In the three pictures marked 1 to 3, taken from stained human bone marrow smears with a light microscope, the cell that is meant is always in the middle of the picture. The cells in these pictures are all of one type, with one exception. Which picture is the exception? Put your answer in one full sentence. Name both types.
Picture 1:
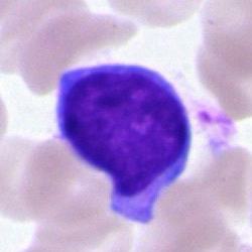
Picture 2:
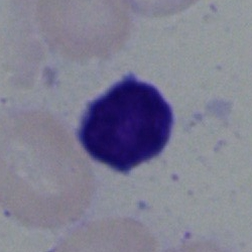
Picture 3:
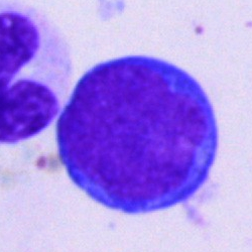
The different one is picture 2; it shows a lymphocyte, whereas all the others show blasts.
